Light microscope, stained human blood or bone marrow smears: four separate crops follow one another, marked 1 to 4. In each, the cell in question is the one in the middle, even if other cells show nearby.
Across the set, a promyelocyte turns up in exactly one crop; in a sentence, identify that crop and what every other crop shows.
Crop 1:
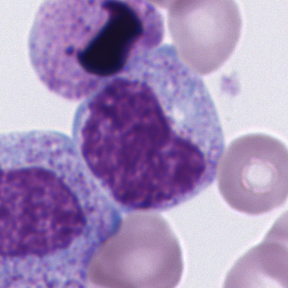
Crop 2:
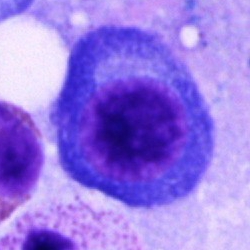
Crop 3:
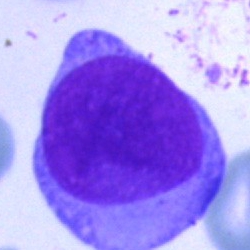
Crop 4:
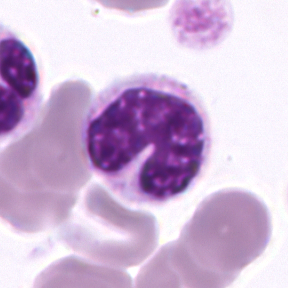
Crop 1 comes out as a promyelocyte, while crop 2 is a plasma cell, crop 3 is a blast and crop 4 is a band neutrophil.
